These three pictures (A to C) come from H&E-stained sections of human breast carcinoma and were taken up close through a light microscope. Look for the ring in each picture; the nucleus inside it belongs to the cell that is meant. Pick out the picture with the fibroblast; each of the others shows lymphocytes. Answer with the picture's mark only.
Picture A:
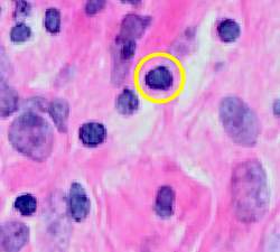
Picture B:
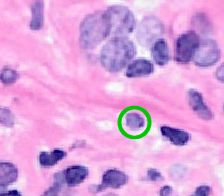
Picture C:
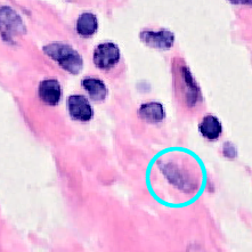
C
